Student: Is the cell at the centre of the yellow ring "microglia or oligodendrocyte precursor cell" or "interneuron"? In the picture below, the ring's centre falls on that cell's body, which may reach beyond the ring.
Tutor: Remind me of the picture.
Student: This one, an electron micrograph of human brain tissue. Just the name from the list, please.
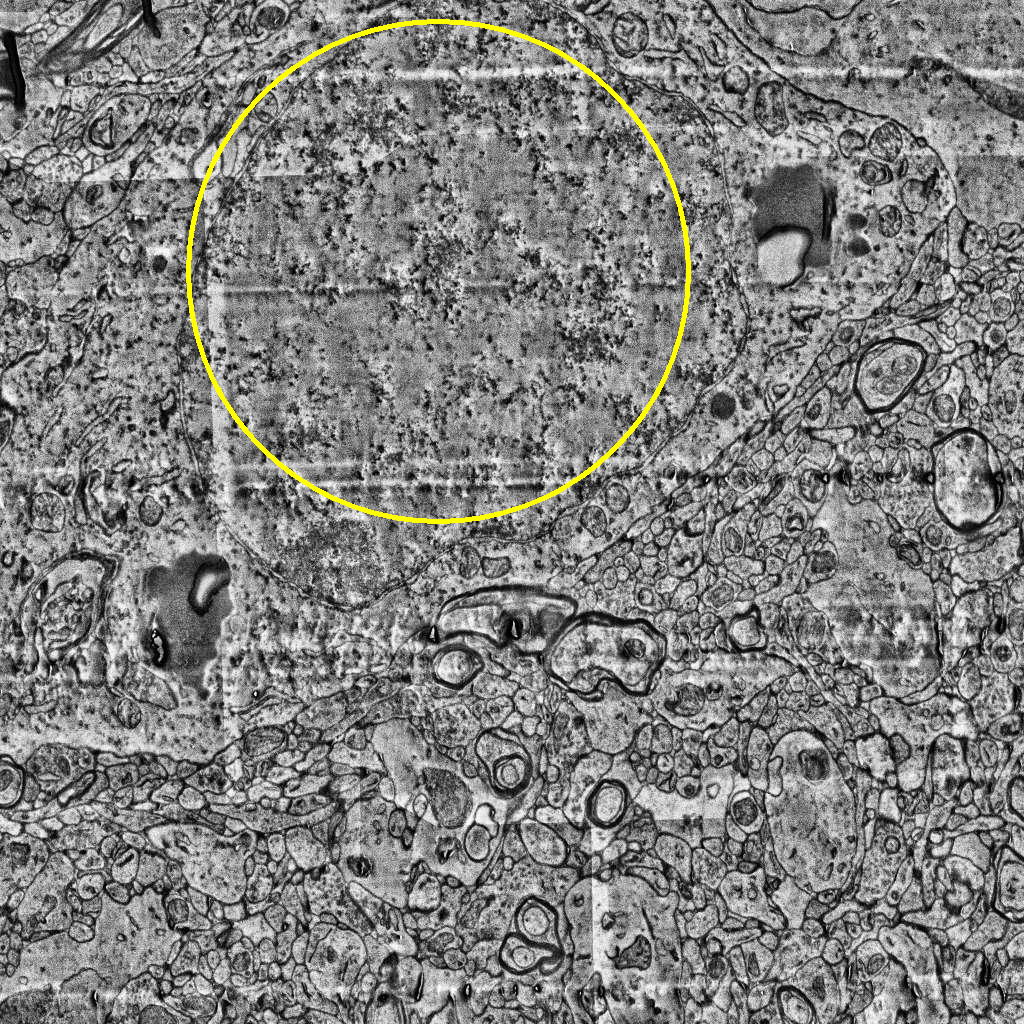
interneuron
